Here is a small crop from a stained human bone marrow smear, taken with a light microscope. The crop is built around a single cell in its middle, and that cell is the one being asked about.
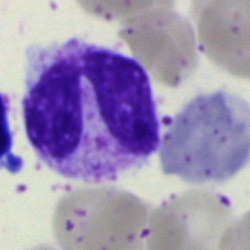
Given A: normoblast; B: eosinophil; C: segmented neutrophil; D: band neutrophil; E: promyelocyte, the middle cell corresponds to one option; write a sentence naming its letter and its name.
Option C stands as correct, the central cell being a segmented neutrophil.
